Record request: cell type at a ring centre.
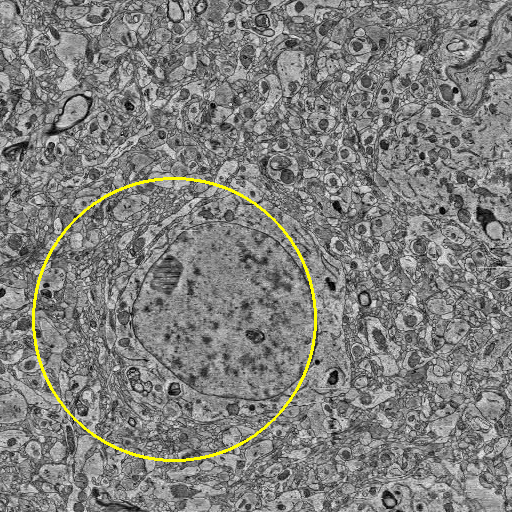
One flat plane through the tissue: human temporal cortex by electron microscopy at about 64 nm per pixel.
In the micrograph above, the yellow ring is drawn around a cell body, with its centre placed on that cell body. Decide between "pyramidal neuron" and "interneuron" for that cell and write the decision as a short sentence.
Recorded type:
The cell centred in the yellow ring is a pyramidal neuron.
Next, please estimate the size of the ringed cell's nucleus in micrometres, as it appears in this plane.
In this plane, approximately 12 micrometres across.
